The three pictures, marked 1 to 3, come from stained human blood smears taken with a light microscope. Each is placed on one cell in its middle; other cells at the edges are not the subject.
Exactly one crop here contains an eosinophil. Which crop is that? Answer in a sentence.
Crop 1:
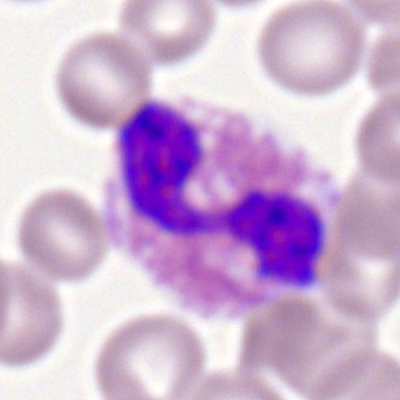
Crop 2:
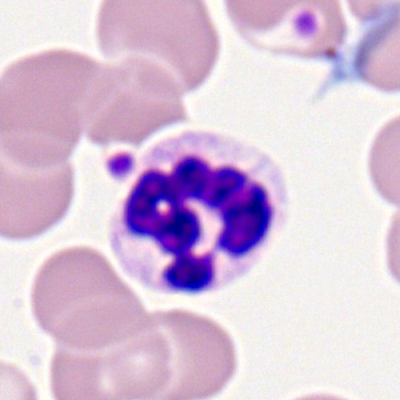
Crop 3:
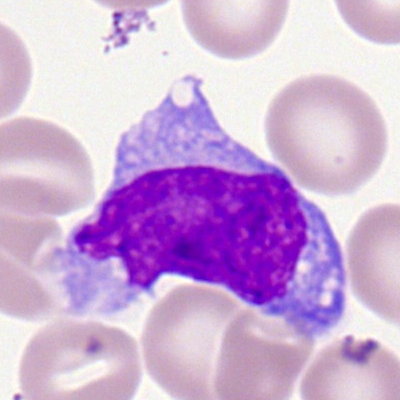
Of all the crops, crop 1 is the one showing an eosinophil.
